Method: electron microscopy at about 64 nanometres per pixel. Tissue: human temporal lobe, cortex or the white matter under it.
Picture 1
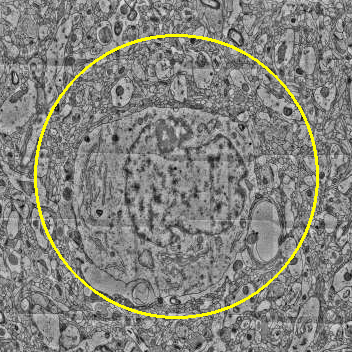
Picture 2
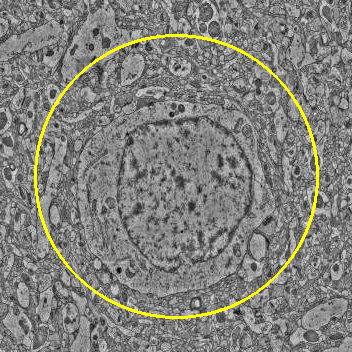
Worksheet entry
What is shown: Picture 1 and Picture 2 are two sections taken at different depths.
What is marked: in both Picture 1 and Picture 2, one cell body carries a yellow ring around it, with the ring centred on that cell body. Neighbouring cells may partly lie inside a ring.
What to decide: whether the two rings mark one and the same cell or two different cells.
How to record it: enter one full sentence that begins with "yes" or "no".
Yes, one and the same cell lies under both rings.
